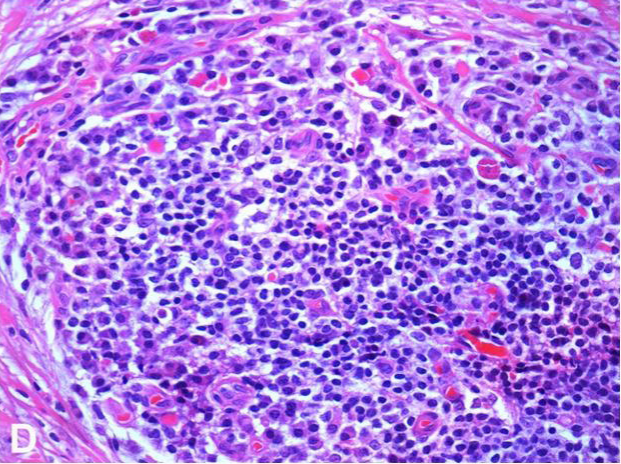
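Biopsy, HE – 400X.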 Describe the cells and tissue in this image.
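A dense lymphoid aggregate crowded with small round cells that have dark, round nuclei and scant cytoplasm. Around and among these cells are numerous plasma cells, recognisable by their eccentric round nuclei and a moderate rim of purple cytoplasm. Small capillaries with red blood cells run through the aggregate. At its edge, pink fibrous tissue with elongated spindle-shaped nuclei bounds the cellular area.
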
